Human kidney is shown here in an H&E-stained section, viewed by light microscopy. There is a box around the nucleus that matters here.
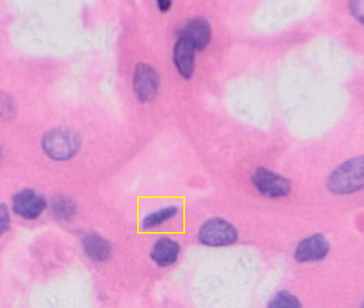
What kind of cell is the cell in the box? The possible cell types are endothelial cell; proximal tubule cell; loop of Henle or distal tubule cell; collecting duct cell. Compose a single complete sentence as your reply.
Recorded by type, the cell in the box is an endothelial cell.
